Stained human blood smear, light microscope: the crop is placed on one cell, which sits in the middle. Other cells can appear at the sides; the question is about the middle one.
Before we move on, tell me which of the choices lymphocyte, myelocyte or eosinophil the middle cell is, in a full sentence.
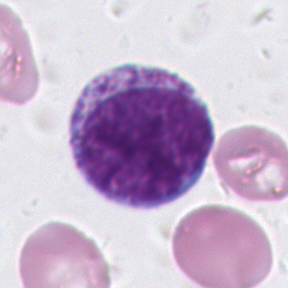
Occupying the centre of the crop is a myelocyte.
